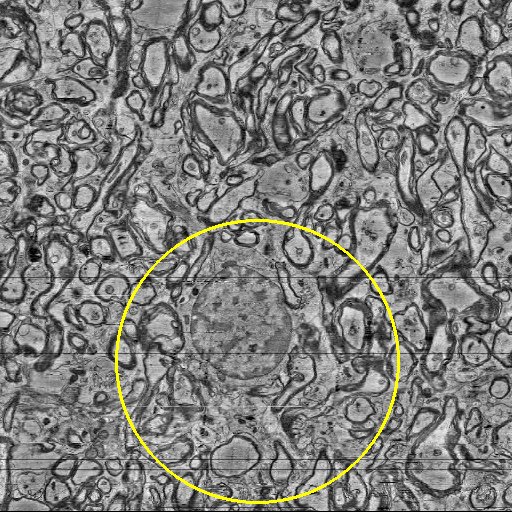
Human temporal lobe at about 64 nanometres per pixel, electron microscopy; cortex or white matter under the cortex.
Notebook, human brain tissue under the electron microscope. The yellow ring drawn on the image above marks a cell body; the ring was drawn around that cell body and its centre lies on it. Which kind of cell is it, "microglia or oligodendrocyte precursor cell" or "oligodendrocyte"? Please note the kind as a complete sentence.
The marked cell body is that of an oligodendrocyte.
